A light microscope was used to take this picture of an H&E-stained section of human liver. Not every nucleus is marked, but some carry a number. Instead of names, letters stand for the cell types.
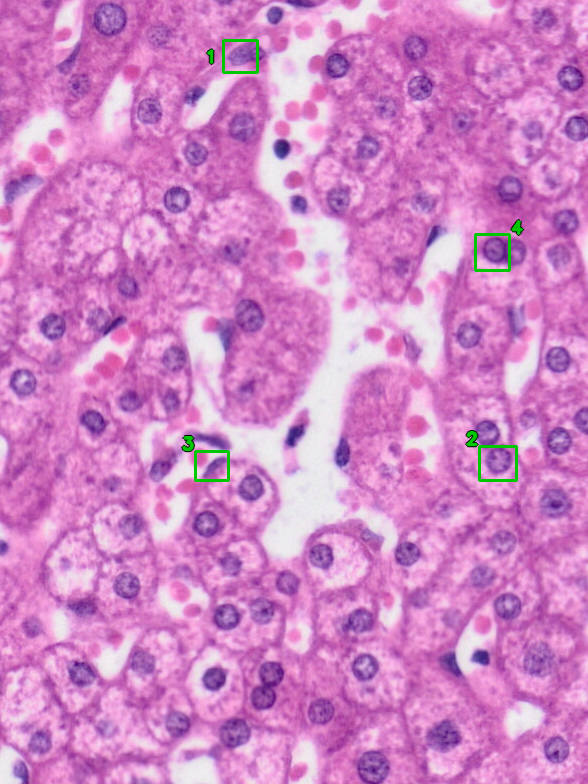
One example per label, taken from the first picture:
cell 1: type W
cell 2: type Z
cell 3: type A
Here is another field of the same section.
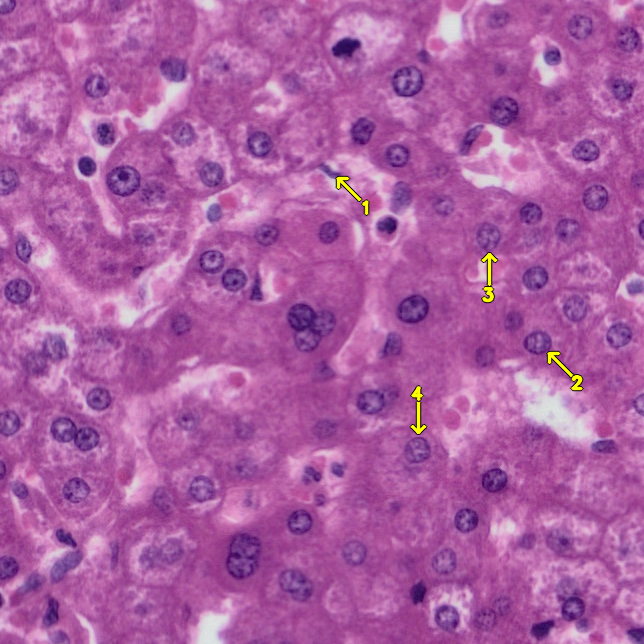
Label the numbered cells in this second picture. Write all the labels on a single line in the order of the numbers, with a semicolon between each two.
type A; type Z; type Z; type Z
